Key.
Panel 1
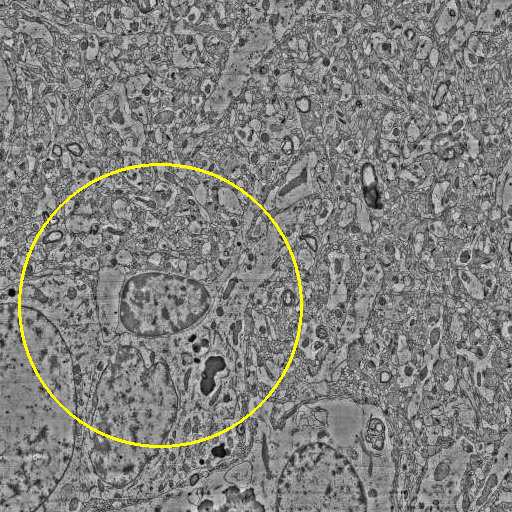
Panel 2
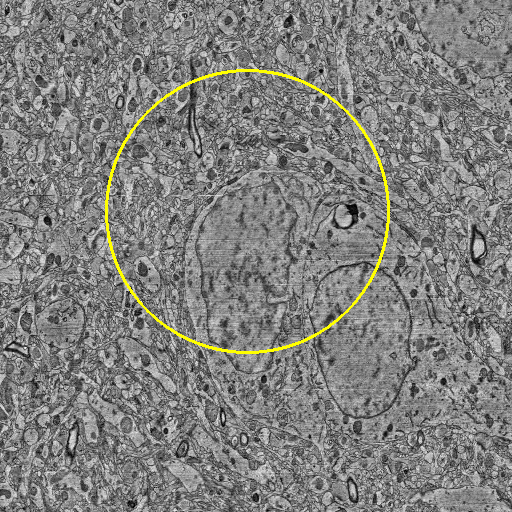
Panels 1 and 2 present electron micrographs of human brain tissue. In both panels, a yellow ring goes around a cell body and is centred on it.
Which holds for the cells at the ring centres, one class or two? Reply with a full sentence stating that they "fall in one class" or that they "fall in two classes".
Taken together, the ring-centre cells of the two panels fall in two classes.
